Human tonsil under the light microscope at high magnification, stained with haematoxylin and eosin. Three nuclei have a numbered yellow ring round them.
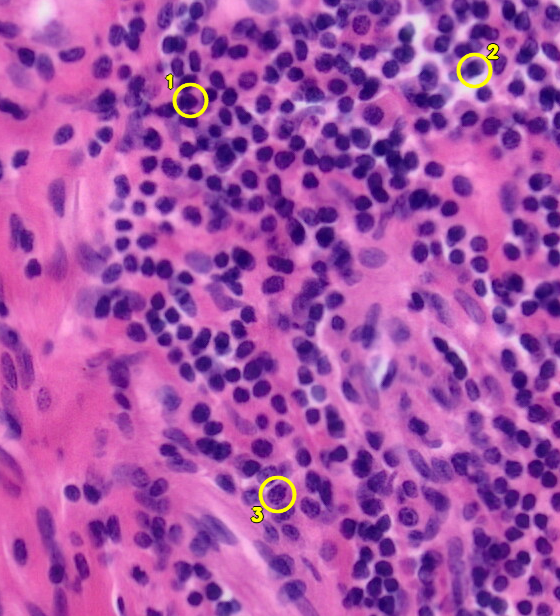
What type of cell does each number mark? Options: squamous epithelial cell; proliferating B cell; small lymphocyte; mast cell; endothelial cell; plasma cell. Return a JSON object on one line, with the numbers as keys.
{"1": "small lymphocyte", "2": "small lymphocyte", "3": "plasma cell"}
